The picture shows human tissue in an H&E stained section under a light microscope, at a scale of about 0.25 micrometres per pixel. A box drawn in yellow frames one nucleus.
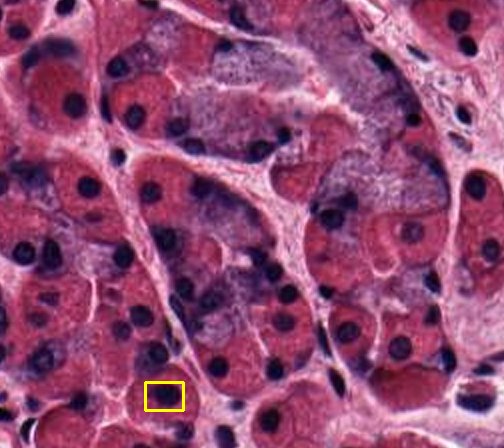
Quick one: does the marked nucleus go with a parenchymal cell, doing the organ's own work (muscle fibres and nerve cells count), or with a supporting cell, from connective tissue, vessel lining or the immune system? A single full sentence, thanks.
The marked nucleus is contained in a parenchymal cell, namely a parietal cell.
